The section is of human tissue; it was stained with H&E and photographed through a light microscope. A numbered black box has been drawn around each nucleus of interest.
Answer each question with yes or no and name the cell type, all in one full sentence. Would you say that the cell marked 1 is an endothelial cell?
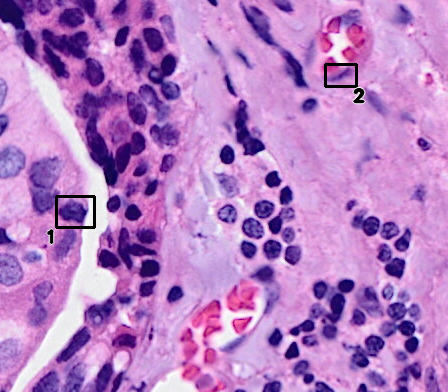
No, an endothelial cell is not what cell 1 is; it is a carcinoma cell.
